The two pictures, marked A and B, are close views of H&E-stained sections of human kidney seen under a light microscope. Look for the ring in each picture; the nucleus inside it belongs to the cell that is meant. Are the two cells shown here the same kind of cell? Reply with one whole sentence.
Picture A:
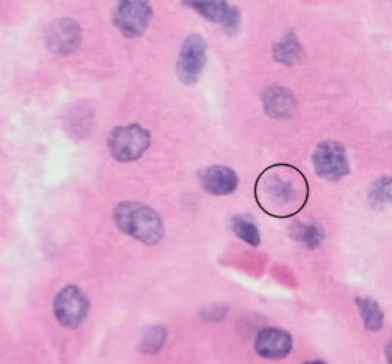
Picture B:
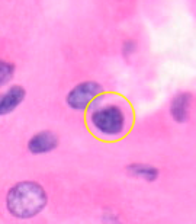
Yes, the two pictures both show “loop of Henle or distal tubule cells”.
